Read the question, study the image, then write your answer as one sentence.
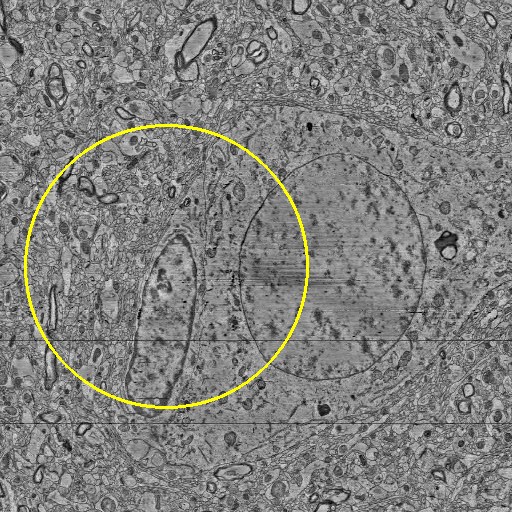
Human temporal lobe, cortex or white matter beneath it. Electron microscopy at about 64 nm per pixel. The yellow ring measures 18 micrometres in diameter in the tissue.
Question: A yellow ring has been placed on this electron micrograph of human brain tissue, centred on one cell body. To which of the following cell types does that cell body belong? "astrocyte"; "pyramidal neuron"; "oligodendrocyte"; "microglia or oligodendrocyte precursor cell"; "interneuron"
That cell body belongs to a microglial cell or oligodendrocyte precursor cell.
